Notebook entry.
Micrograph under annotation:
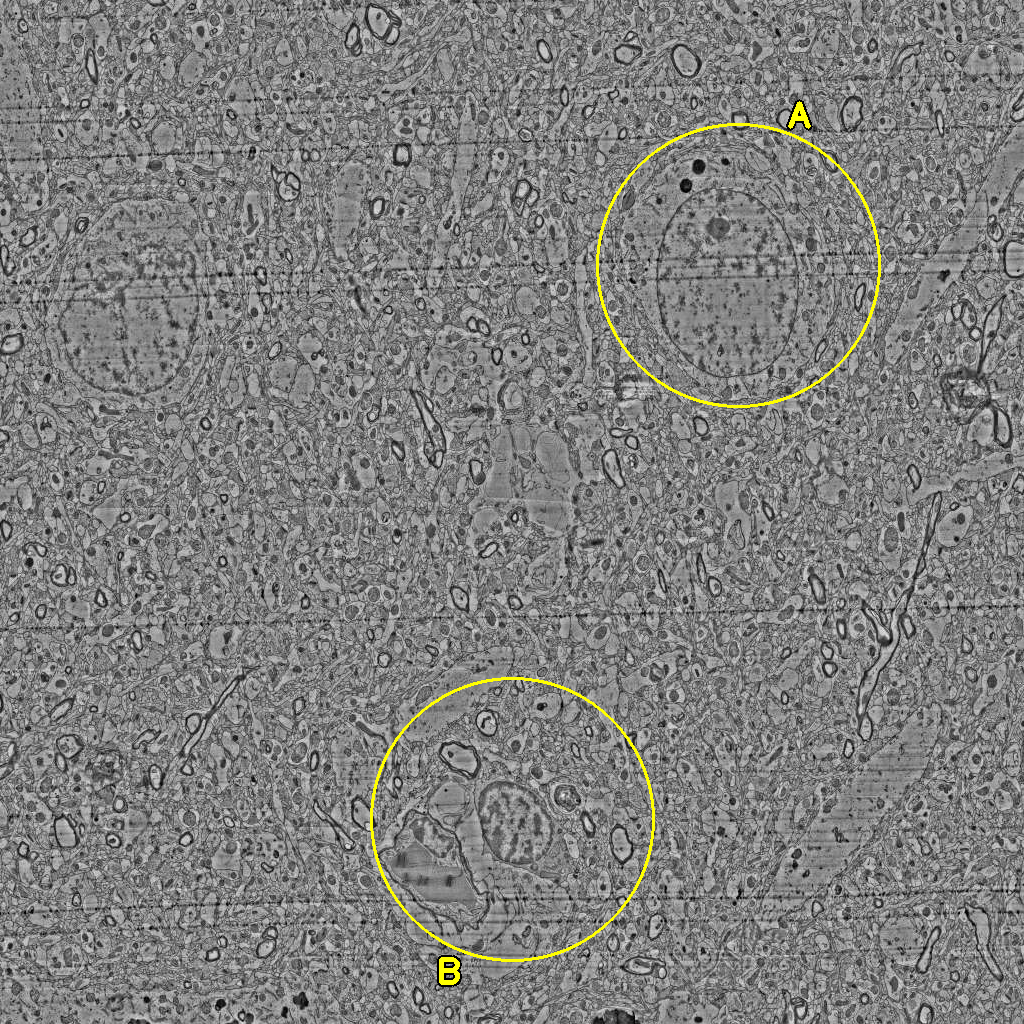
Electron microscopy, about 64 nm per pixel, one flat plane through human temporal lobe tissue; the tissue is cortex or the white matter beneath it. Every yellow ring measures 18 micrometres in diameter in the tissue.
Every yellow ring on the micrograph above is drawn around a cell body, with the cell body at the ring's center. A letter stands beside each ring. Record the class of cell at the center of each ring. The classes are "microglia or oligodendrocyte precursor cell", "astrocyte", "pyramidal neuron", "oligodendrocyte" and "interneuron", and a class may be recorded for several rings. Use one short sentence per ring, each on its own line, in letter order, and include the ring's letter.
Ring A is centered on a pyramidal neuron.
Ring B is centered on an oligodendrocyte.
